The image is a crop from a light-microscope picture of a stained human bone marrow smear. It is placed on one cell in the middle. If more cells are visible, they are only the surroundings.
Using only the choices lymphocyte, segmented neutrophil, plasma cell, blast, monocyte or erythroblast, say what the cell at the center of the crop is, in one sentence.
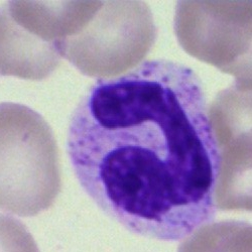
The cell featured at the centre of this crop is a segmented neutrophil.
